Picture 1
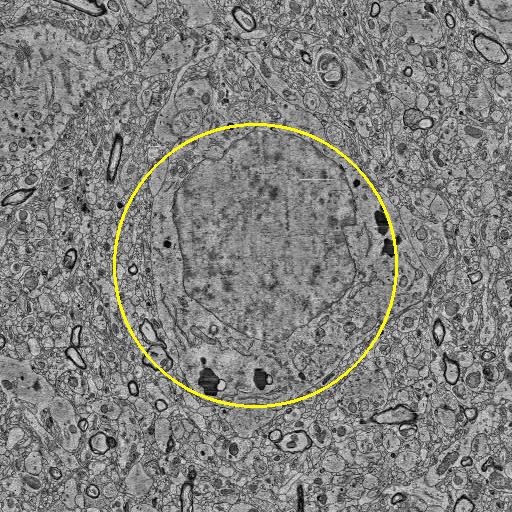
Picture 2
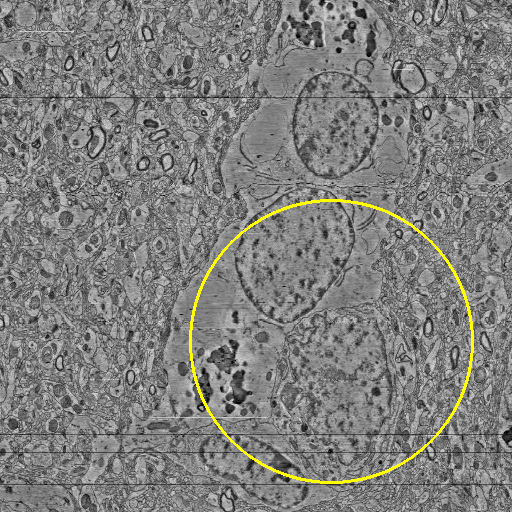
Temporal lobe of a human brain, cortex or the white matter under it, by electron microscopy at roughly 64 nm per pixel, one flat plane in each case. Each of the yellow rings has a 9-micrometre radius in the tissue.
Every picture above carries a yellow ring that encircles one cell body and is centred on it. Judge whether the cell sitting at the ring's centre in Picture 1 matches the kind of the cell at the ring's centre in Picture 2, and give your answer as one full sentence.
Yes, the cells centred in the rings of Pictures 1 and 2 belong to one kind.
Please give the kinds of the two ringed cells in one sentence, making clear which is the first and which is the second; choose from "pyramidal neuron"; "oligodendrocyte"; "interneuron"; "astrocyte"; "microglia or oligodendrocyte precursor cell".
In each picture the ringed cell is an interneuron.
